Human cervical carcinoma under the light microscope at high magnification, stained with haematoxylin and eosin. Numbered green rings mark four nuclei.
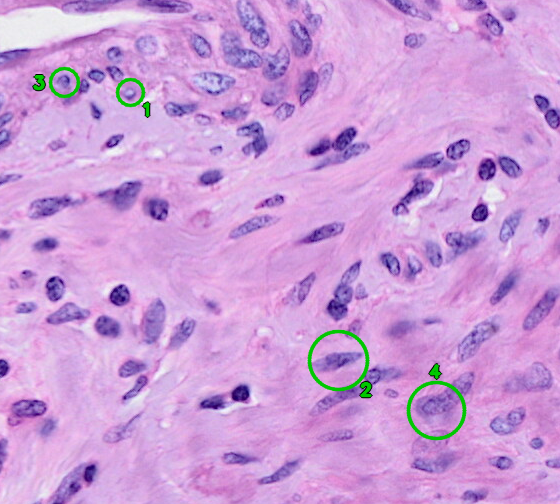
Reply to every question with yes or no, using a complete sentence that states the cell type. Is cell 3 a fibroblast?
No, what is marked as number 3 is a smooth muscle cell rather than a fibroblast.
